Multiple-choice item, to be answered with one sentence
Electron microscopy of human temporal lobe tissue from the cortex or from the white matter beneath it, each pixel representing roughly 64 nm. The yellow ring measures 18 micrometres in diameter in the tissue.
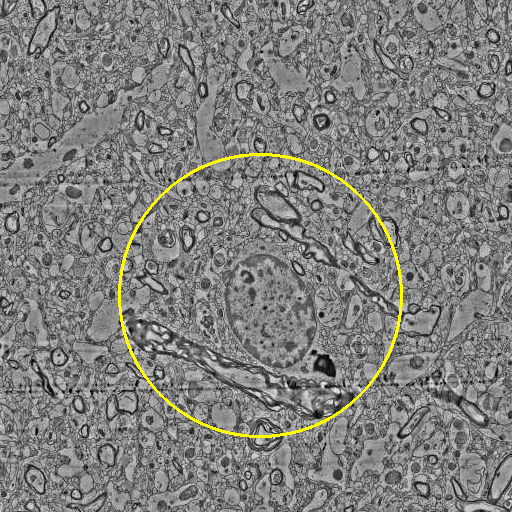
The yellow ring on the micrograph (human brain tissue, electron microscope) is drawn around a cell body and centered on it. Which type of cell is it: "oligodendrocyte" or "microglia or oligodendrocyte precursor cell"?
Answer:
The ring is centered on an oligodendrocyte.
